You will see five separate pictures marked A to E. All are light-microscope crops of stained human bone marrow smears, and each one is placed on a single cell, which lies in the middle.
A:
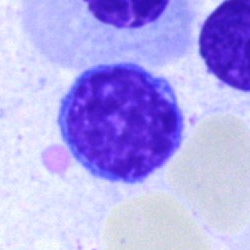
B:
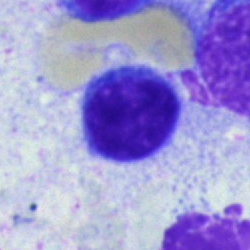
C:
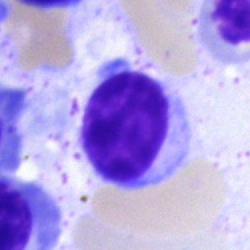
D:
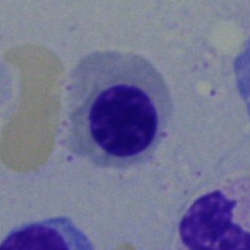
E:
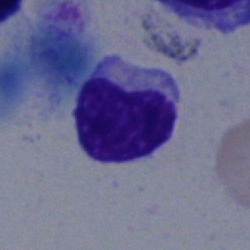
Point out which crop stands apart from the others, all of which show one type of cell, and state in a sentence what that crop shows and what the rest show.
Crop D is the one that is a normoblast, and the other crops all show lymphocytes.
